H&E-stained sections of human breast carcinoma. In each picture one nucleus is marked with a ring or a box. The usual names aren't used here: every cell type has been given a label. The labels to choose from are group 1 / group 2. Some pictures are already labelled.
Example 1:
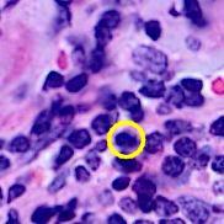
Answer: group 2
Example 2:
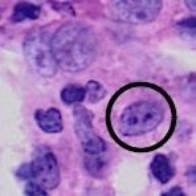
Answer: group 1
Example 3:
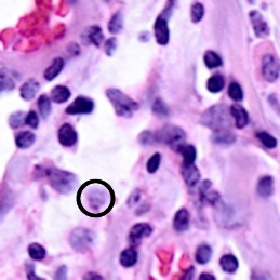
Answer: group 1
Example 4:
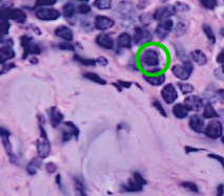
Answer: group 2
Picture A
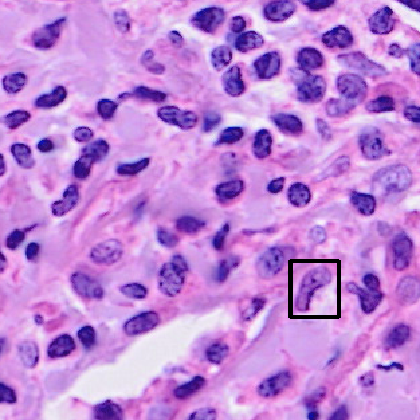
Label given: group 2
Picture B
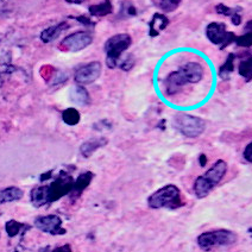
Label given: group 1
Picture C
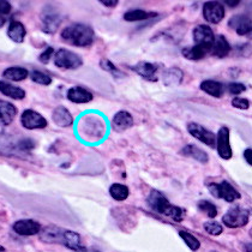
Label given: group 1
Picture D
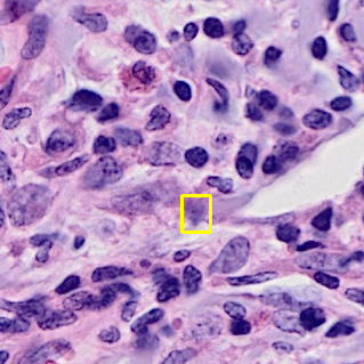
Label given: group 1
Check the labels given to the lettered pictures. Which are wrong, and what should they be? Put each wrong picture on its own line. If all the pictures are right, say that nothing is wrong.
A is labelled group 2; correct label: group 1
